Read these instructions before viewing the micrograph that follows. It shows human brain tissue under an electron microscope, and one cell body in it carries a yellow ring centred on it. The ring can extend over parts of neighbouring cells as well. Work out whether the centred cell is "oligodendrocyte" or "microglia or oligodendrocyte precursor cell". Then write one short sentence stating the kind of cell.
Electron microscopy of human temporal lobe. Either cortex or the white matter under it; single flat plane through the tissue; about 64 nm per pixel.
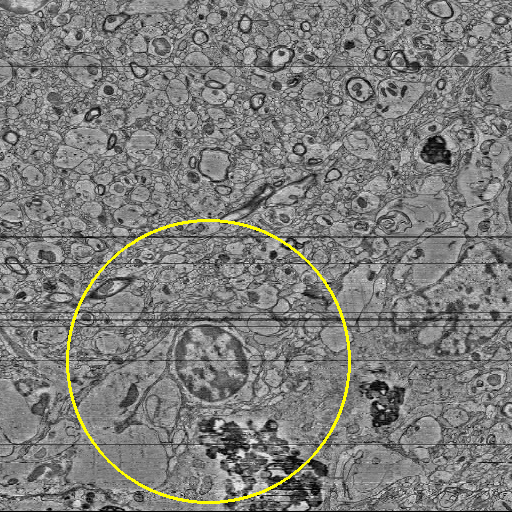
The ringed cell is a microglial cell or oligodendrocyte precursor cell.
